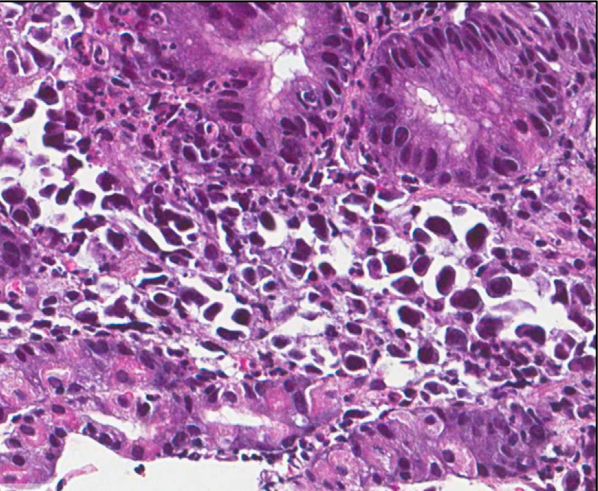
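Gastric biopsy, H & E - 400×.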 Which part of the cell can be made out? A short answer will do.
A: eccentric nuclei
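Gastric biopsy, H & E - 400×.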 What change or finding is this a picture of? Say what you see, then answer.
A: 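The cells lie singly with clear spaces between them. The cells do not form cohesive clusters or glands.
Conclusion: discohesive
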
